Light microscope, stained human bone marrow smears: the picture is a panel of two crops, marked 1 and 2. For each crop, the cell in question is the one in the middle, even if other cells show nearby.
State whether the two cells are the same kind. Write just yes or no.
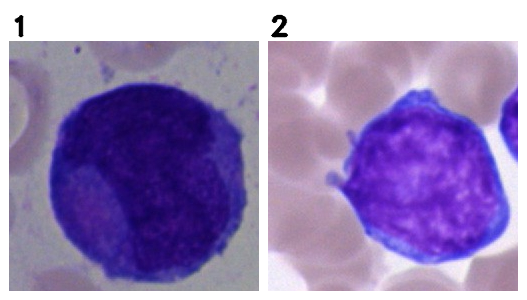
yes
